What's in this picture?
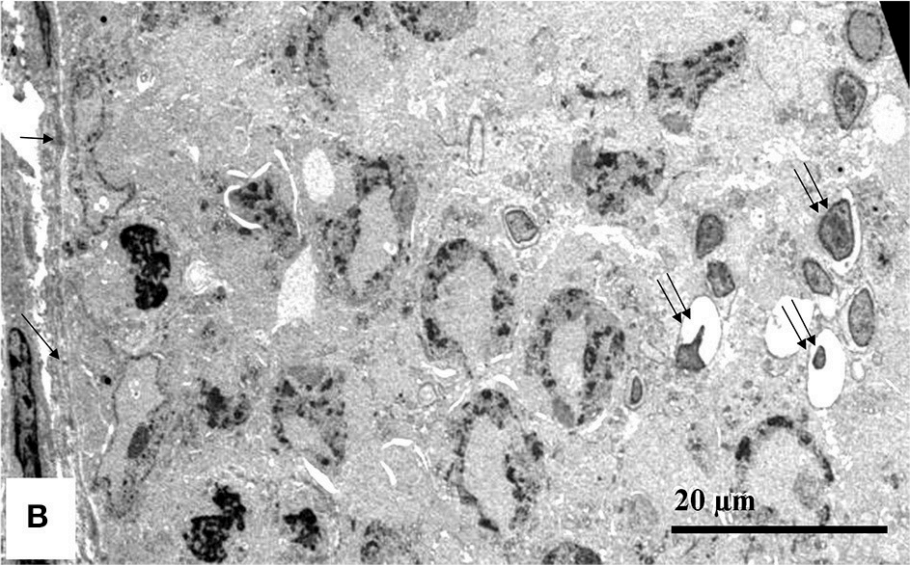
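Seminiferous epithelium of the testis seen by transmission electron microscopy, bordered on the left by a basement membrane. The border appears layered, uneven and folded rather than a single thin line. Numerous nuclei with peripheral clumps of dense chromatin, several of them indented or irregular in outline, fill the epithelium. On the right, small sperm profiles of varied, irregular shapes lie within clear spaces, some with dense heads that are distorted or shrunken. Scattered clear vacuoles and clefts interrupt the cytoplasm.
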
